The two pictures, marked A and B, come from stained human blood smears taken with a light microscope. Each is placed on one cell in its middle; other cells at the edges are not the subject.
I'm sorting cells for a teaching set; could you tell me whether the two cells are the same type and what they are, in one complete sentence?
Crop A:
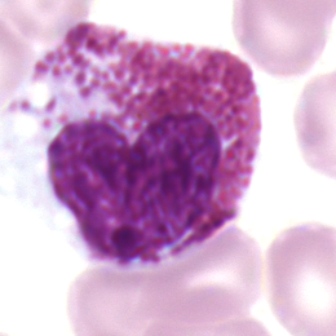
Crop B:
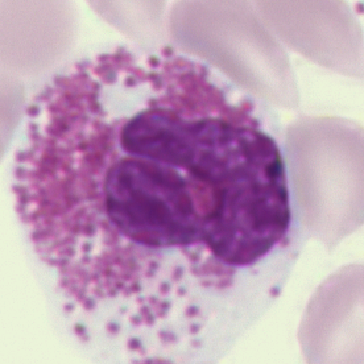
Yes, both crops show eosinophils, with no exception.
